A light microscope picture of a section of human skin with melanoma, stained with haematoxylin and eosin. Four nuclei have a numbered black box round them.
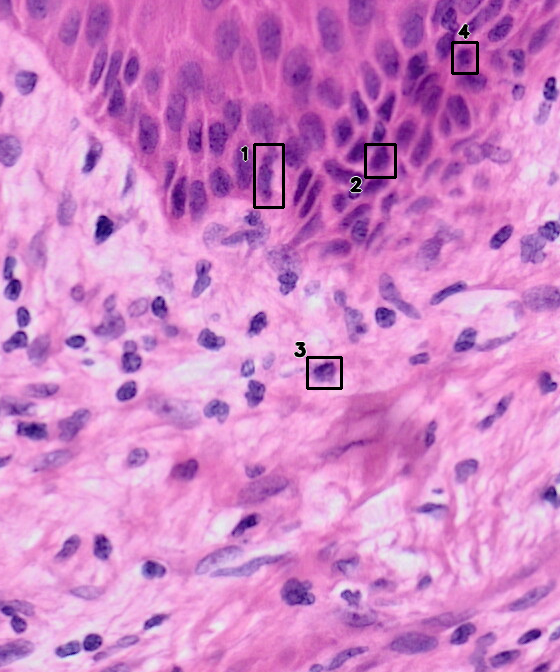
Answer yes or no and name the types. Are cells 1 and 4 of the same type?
Yes, cells 1 and 4 both belong to the category of keratinocytes.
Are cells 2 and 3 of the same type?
No, sorry to say, cell 2 is a keratinocyte and cell 3 is a lymphocyte.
